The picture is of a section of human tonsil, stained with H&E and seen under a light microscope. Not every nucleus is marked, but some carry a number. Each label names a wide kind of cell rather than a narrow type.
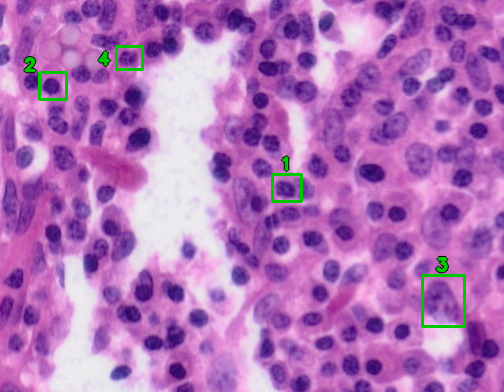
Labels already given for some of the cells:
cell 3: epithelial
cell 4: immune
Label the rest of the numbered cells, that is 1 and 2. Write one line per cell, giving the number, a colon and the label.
1: immune
2: immune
